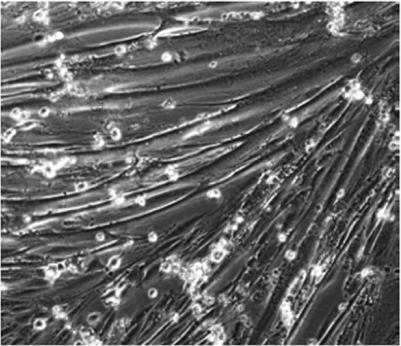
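Cultured myotubes seen in phase contrast form long, broad, unbranched tubes that sweep across the field in roughly parallel bundles, curving together toward one side of the dish. Each tube has a flat, grey body with bright edges, and the tubes lie side by side with narrow gaps between them. Between and over the tubes lie scattered small, round, bright-haloed cells, some gathered into loose clusters, which stand out against the flatter tubes. The background between the tubes is finely speckled. The overall impression is of a dense, well-aligned layer of wide, elongated fused muscle cells in culture.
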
